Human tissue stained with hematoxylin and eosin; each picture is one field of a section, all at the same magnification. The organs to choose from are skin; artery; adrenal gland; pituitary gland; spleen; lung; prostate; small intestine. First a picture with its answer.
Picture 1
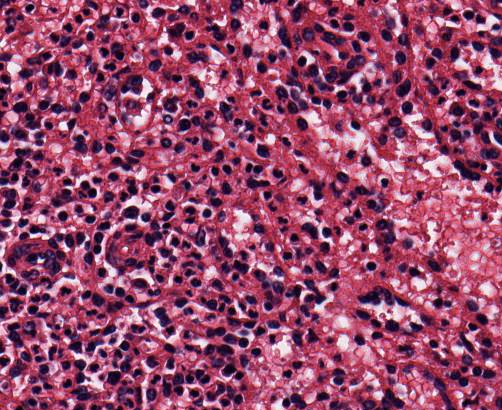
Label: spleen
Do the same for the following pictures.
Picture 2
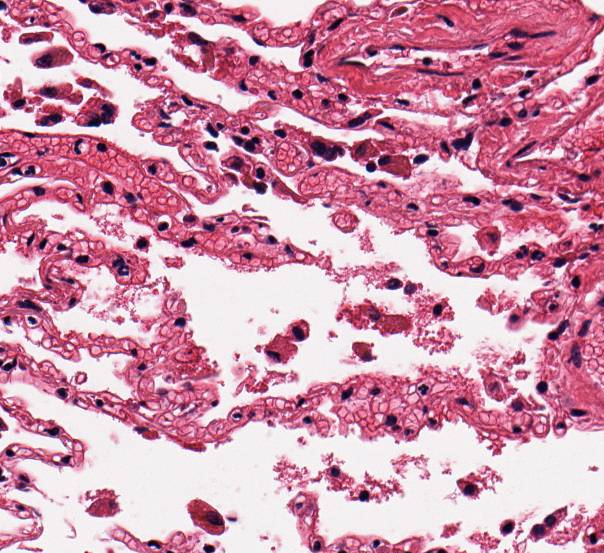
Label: lung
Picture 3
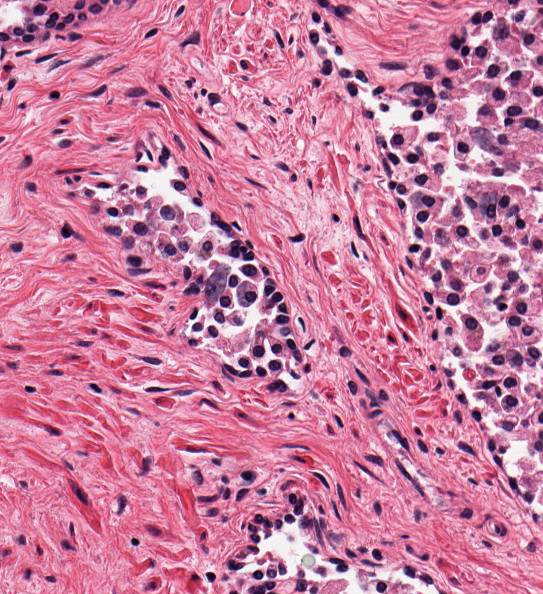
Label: prostate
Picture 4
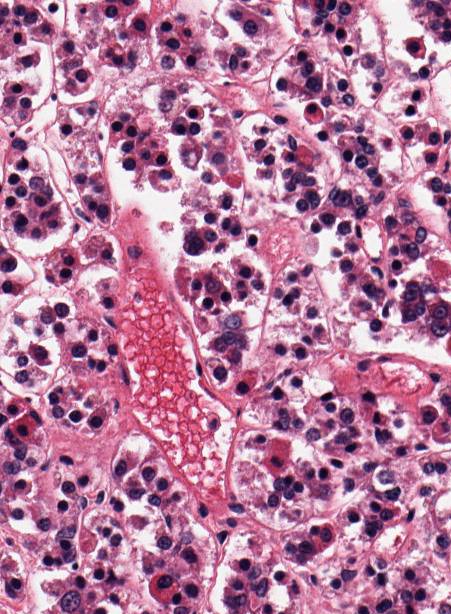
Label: pituitary gland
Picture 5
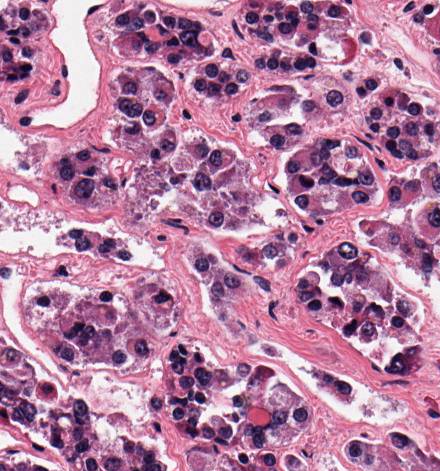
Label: pituitary gland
